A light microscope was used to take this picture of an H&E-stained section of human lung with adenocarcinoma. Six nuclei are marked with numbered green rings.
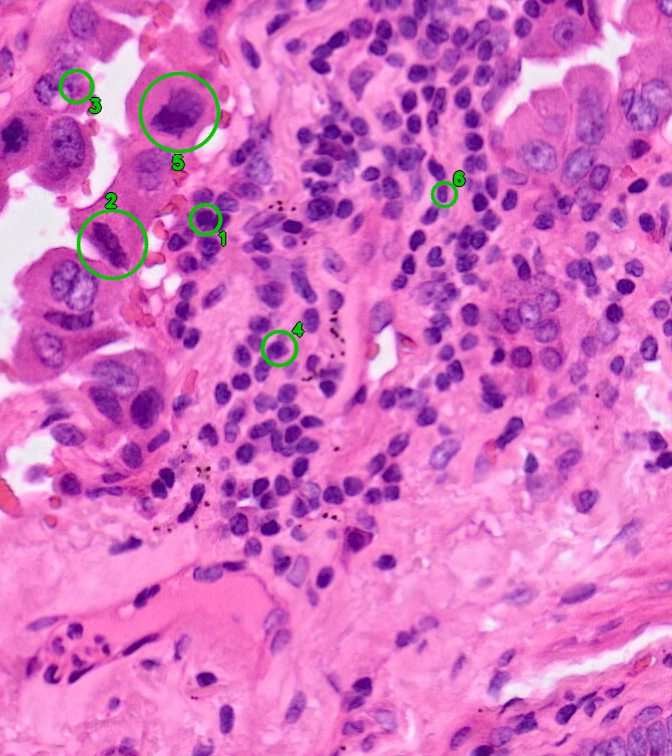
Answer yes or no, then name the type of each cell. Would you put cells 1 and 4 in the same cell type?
Yes, cells 1 and 4 are both recognised as lymphocytes.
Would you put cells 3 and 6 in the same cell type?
No, sorry to say, cell 3 is a carcinoma cell and cell 6 is a lymphocyte.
